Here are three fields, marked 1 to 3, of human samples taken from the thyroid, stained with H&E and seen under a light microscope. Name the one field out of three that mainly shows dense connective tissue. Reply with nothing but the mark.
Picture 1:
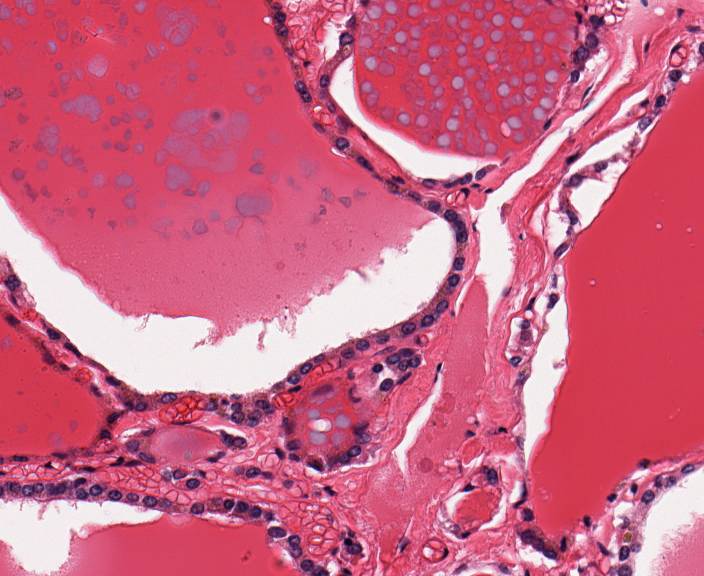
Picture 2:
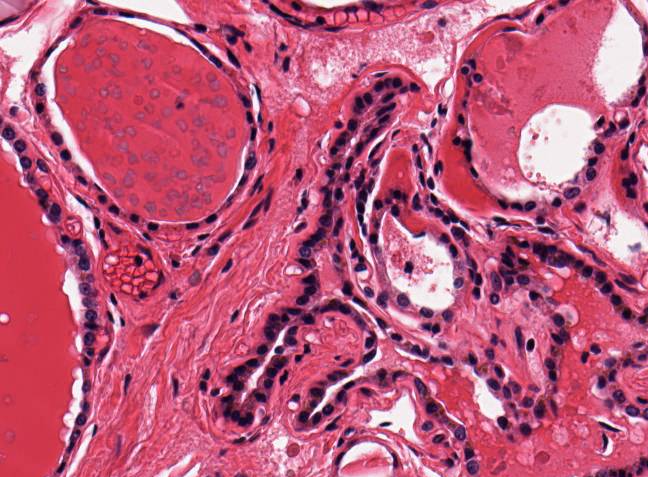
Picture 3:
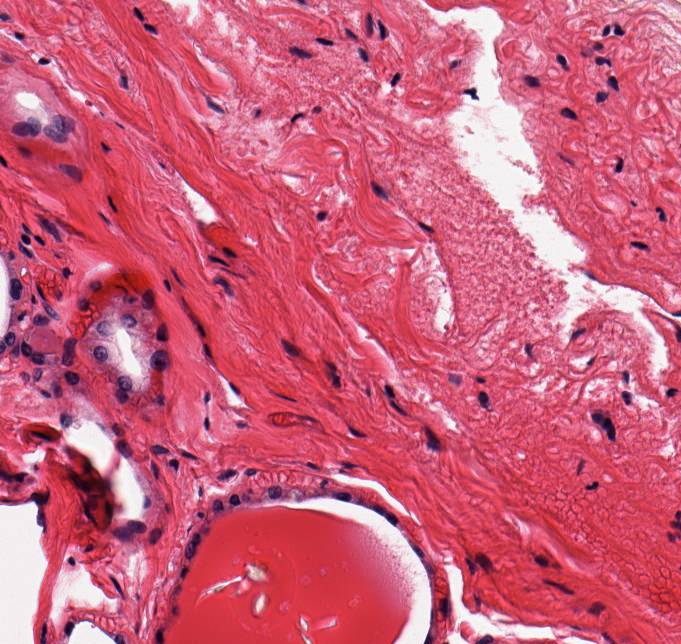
3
